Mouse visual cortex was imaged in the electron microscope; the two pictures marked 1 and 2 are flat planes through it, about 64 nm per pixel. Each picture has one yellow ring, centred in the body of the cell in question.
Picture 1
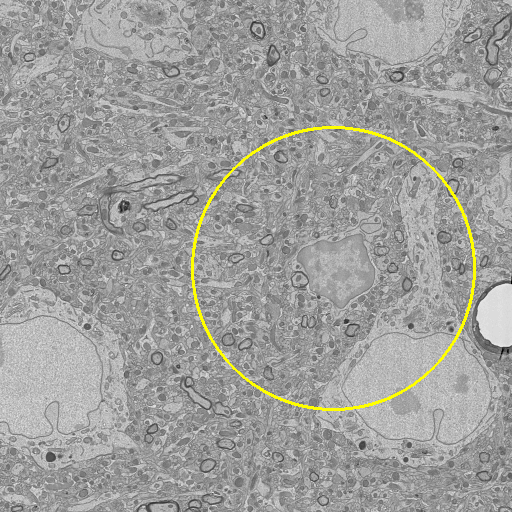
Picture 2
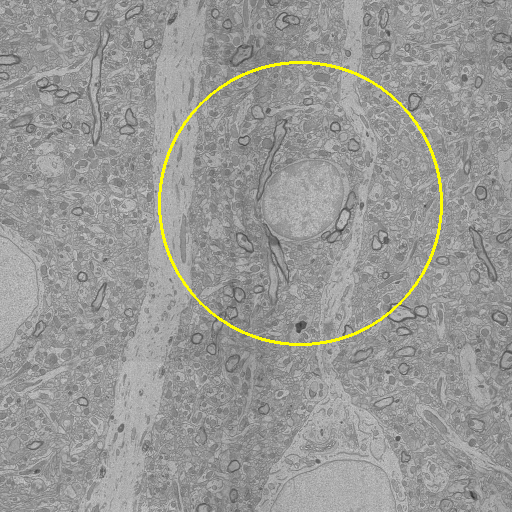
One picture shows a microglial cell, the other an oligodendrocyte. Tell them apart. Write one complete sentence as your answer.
Picture 2 shows an oligodendrocyte, while picture 1 shows a microglial cell.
